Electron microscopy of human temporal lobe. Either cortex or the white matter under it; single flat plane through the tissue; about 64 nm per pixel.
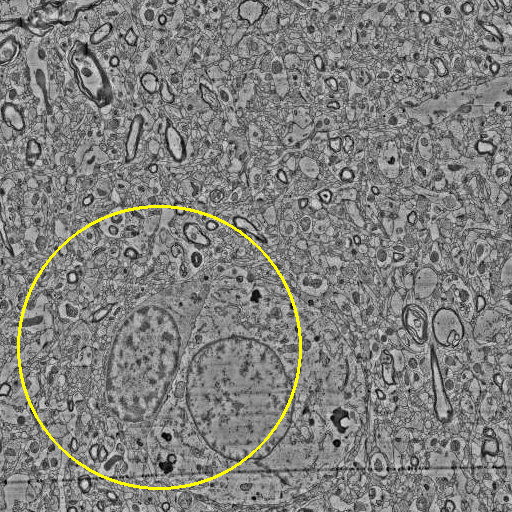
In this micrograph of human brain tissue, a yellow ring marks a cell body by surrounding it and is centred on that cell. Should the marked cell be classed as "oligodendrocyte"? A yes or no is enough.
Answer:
yes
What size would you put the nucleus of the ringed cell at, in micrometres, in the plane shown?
About 6 by 5 micrometers for the nucleus, in this plane.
